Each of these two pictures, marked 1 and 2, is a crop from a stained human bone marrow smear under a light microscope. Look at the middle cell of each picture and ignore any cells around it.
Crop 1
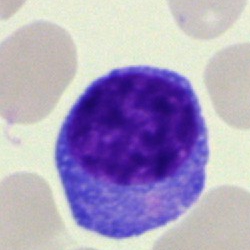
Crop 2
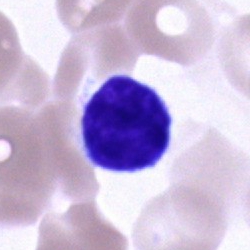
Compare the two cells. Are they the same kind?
yes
